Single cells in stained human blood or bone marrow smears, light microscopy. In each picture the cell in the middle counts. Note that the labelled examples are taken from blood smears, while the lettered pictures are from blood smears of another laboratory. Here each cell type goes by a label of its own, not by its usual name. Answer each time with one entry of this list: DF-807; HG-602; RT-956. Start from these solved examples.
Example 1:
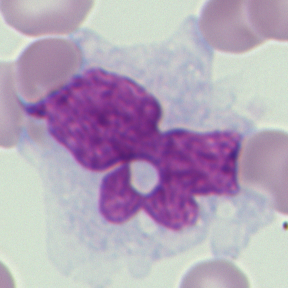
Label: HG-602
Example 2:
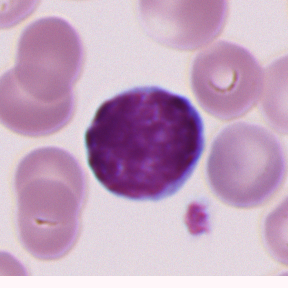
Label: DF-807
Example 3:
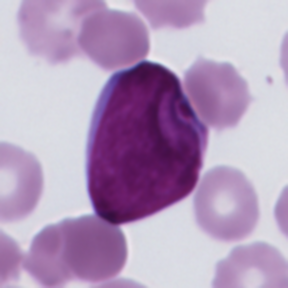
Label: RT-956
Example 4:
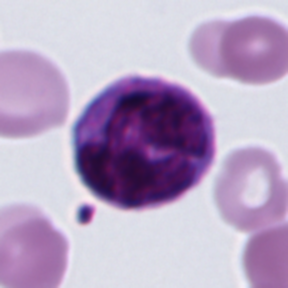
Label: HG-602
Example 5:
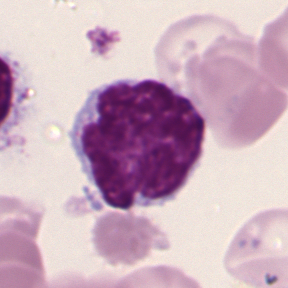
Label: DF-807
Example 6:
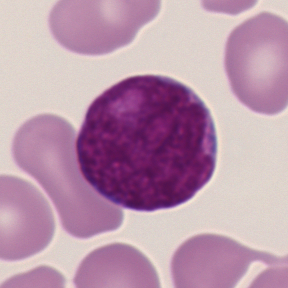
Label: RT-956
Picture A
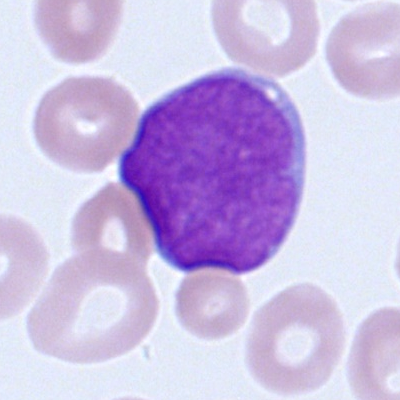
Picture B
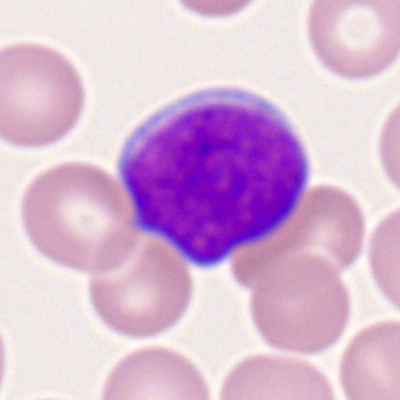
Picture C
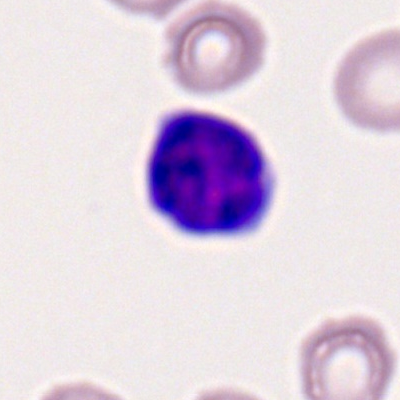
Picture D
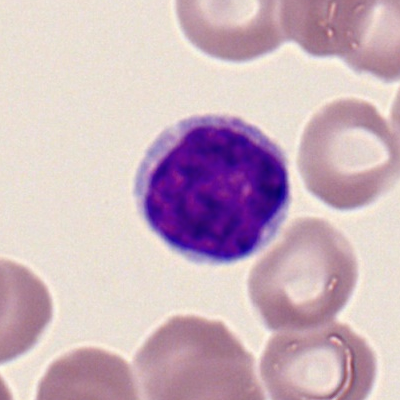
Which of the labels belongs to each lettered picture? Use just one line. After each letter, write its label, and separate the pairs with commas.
A RT-956, B RT-956, C DF-807, D DF-807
